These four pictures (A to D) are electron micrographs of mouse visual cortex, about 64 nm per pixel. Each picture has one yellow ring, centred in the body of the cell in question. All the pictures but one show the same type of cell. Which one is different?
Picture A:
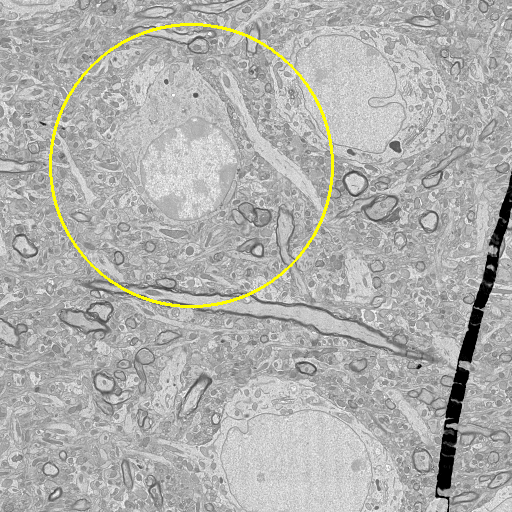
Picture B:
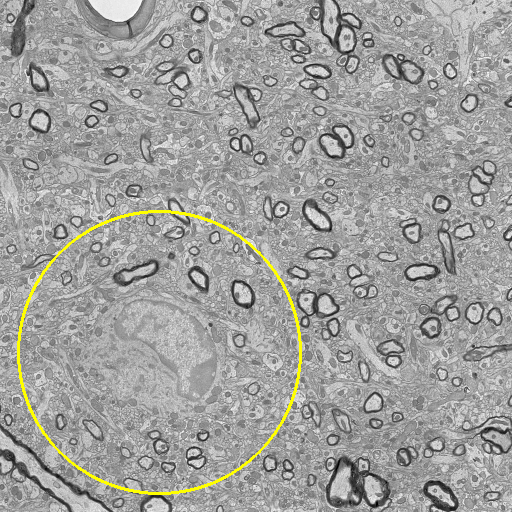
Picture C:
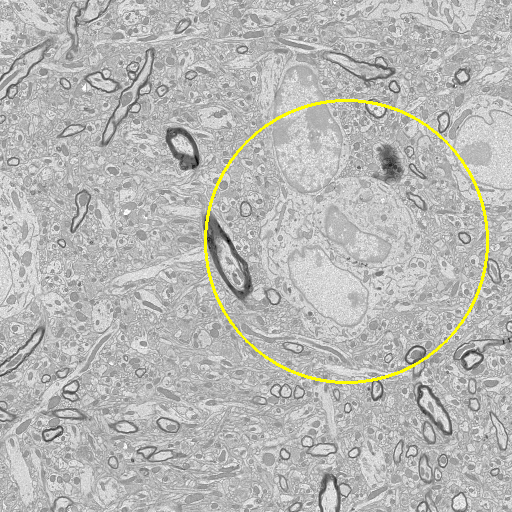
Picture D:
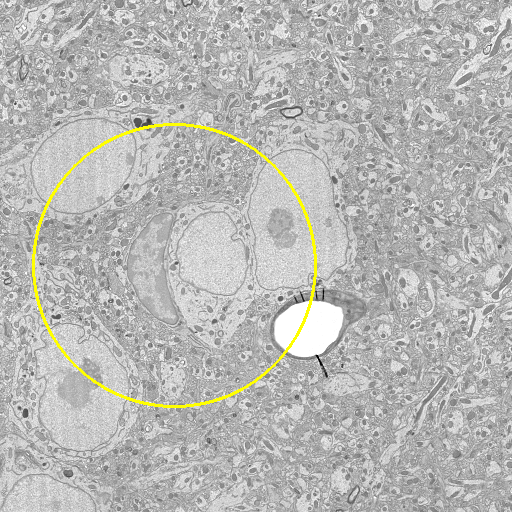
Picture D is the odd one out: it shows a microglial cell, while the others show oligodendrocytes.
